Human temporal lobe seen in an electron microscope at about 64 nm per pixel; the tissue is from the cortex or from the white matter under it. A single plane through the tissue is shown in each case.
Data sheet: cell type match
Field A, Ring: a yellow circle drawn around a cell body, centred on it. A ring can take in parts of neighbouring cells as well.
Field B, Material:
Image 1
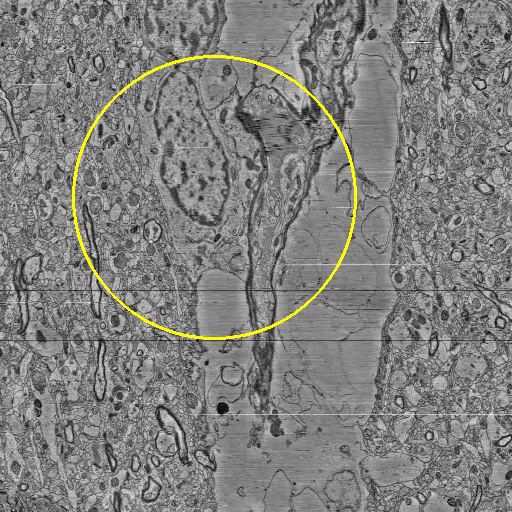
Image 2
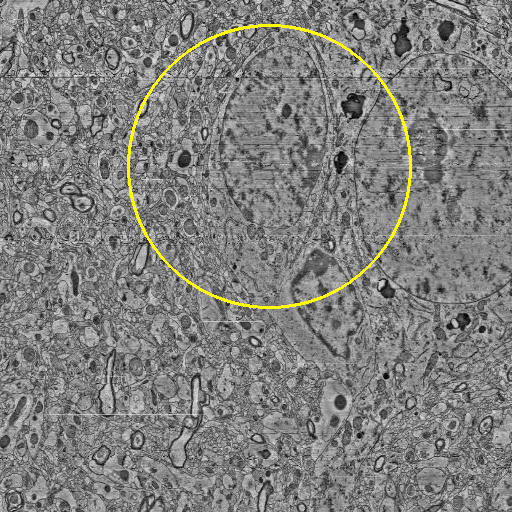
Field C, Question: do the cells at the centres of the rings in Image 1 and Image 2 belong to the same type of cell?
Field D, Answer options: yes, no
yes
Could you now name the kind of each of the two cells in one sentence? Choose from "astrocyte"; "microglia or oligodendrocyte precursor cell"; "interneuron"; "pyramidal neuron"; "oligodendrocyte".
The second cell is a microglial cell or oligodendrocyte precursor cell, just as the first is.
